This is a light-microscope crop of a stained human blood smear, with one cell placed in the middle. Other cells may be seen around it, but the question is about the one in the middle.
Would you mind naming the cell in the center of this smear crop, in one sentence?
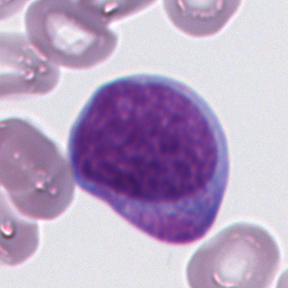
The cell featured at the centre of this crop is an atypical promyelocyte.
